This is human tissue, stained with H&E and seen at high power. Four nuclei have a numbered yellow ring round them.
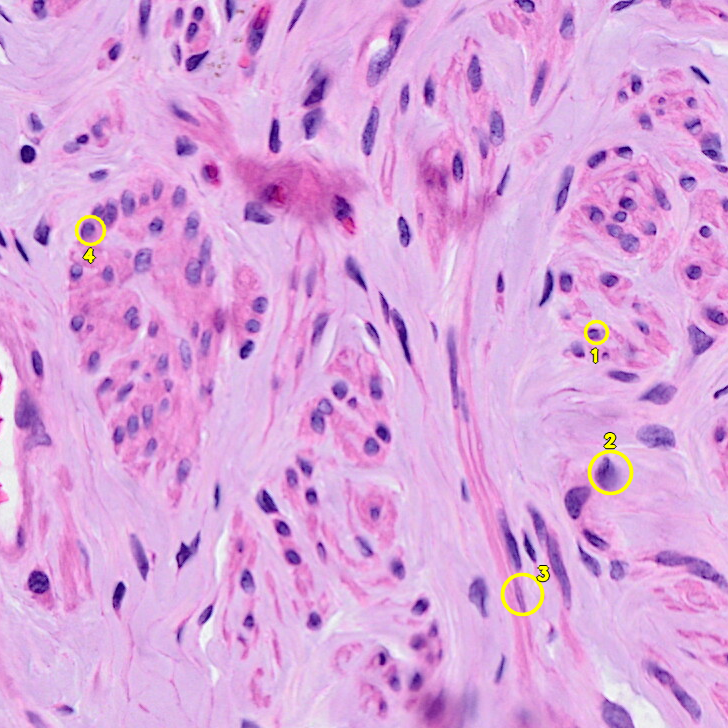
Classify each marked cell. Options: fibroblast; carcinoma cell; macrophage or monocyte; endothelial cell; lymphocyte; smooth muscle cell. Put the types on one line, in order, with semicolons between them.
smooth muscle cell; fibroblast; smooth muscle cell; smooth muscle cell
